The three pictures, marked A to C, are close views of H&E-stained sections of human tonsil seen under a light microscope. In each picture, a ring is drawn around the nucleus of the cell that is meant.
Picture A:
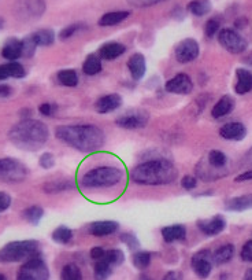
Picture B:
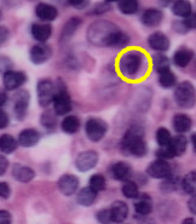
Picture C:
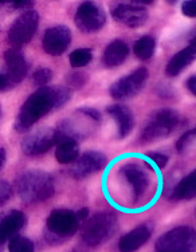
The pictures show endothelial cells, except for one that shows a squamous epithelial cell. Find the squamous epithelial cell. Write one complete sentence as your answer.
The picture with the squamous epithelial cell is C.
